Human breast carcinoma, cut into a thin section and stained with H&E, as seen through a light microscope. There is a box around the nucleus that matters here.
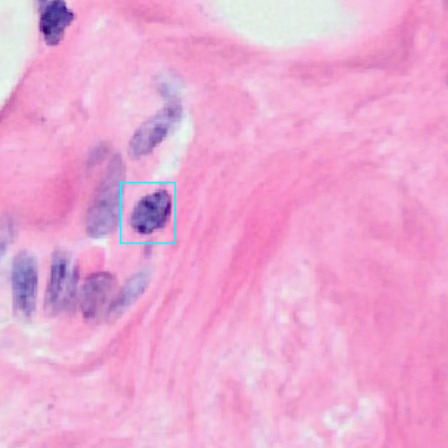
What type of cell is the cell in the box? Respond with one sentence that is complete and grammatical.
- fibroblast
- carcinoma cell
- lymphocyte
The classification of the cell in the box is as a lymphocyte.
